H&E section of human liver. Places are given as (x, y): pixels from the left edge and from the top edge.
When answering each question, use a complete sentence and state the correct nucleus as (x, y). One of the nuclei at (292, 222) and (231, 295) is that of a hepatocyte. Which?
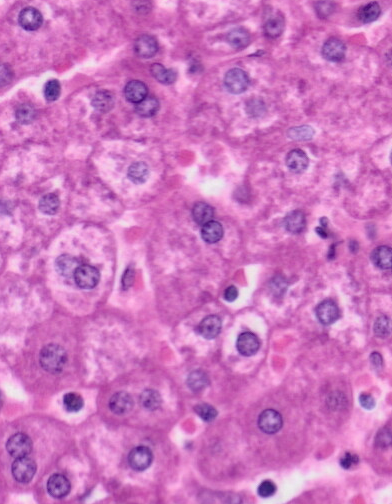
Of the two, the nucleus lying at (292, 222) is the one belonging to a hepatocyte.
